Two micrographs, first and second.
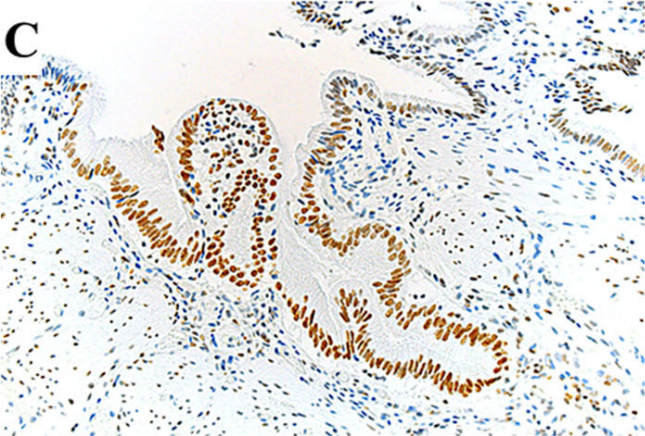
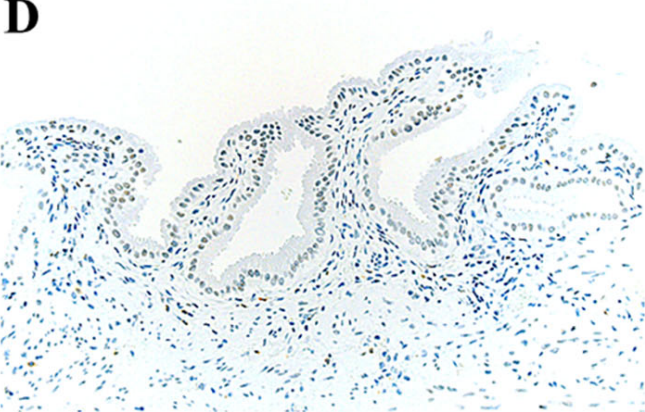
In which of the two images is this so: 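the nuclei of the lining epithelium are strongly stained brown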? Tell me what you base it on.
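Second image: the epithelial nuclei are pale grey-brown, faintly stained. So: the first image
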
